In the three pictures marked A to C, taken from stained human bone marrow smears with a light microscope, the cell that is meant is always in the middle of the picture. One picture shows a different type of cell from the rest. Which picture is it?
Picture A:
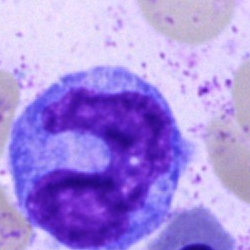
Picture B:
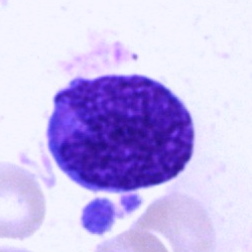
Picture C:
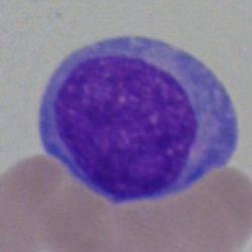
A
